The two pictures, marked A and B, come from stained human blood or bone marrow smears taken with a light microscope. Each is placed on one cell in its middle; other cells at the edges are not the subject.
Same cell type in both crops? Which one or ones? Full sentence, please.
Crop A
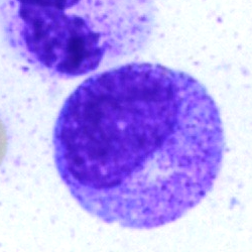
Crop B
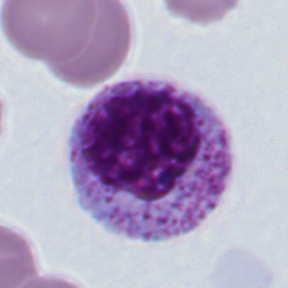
Yes, it is myelocytes that occupy the middle of both crops.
